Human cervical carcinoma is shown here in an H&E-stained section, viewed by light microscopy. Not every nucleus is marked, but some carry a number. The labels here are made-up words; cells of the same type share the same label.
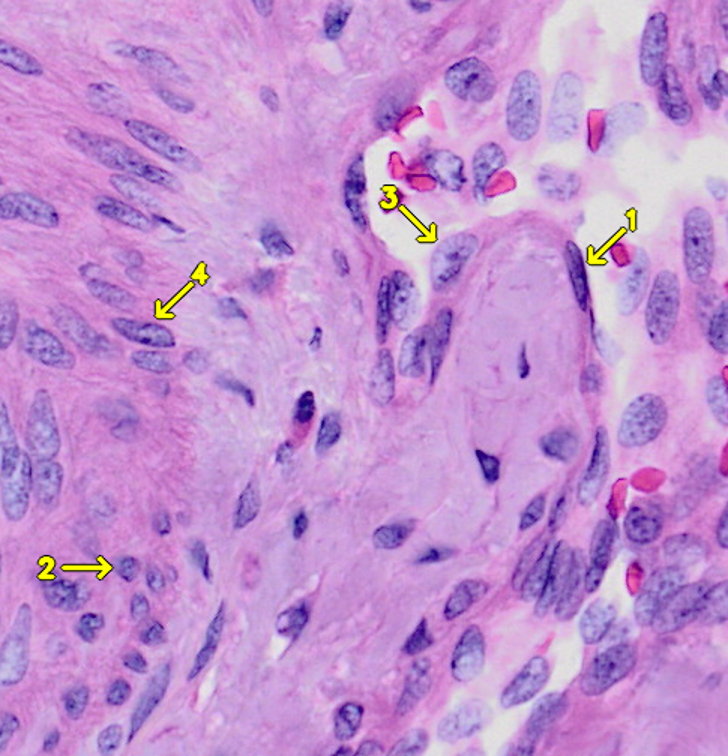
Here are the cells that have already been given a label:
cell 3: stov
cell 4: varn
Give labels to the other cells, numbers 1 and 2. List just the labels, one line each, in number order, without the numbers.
stov
varn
